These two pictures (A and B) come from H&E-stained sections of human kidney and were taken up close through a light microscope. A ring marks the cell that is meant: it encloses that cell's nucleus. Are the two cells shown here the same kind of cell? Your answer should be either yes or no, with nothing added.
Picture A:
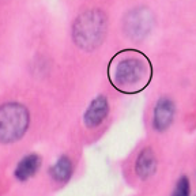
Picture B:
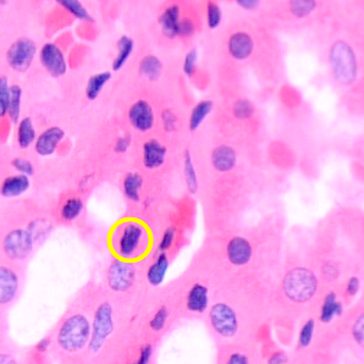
yes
